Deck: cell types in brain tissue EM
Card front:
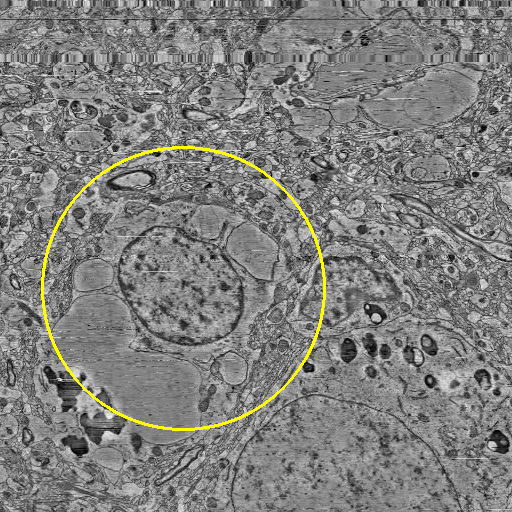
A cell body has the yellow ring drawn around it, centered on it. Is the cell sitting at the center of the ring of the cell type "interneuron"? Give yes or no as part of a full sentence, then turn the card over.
No, on this card the yellow ring is centered on a cell of a different type.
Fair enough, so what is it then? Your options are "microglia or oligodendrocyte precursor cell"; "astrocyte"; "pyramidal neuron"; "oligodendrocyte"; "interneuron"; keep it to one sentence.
This picture has an astrocyte at the centre of its ring.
